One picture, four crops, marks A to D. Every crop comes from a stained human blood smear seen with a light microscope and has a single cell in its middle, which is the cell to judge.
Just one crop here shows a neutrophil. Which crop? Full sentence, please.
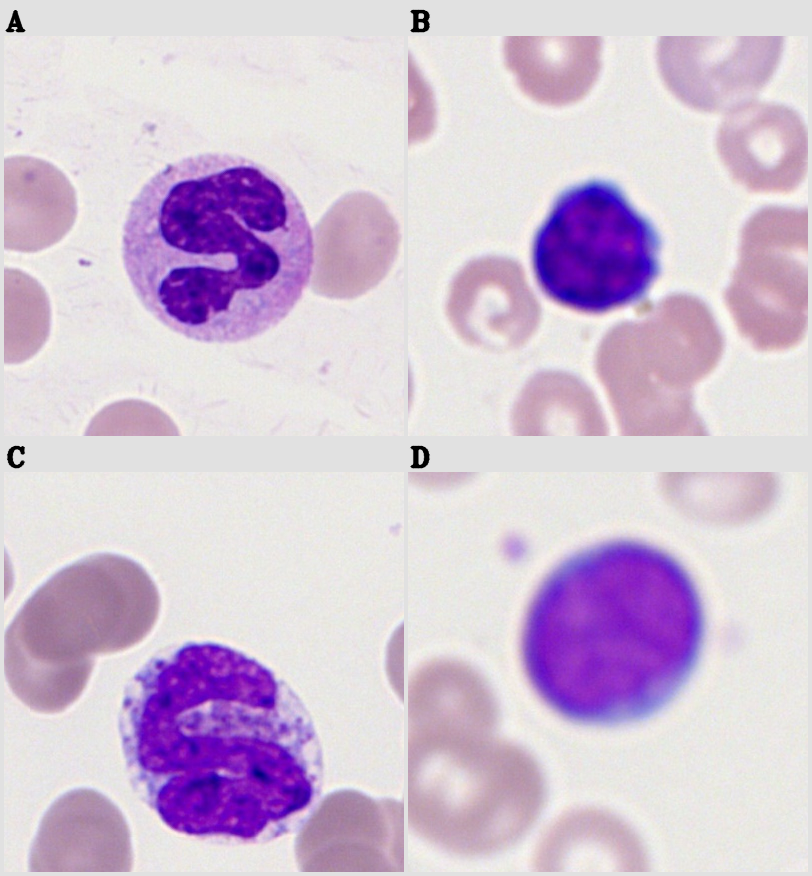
The crop that shows a neutrophil is crop A.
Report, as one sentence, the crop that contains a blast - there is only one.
The one that shows a blast is crop D.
